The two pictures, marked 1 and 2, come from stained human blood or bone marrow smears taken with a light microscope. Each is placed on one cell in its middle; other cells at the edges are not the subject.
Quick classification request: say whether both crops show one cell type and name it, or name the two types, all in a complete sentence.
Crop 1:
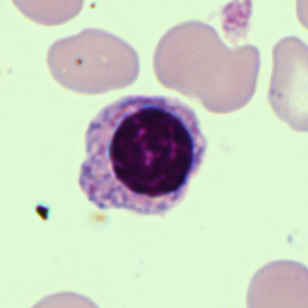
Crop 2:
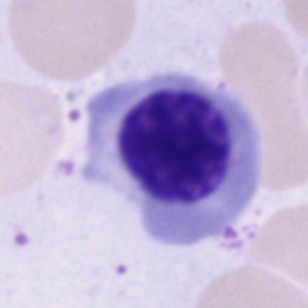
Yes, both crops show normoblasts, and that holds for each one.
